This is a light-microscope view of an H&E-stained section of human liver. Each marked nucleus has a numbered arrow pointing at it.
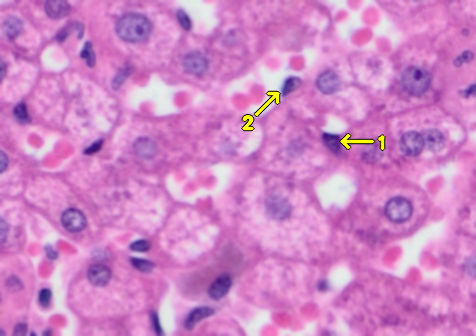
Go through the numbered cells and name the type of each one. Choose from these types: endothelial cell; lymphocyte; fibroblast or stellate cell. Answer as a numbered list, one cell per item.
1. fibroblast or stellate cell
2. endothelial cell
